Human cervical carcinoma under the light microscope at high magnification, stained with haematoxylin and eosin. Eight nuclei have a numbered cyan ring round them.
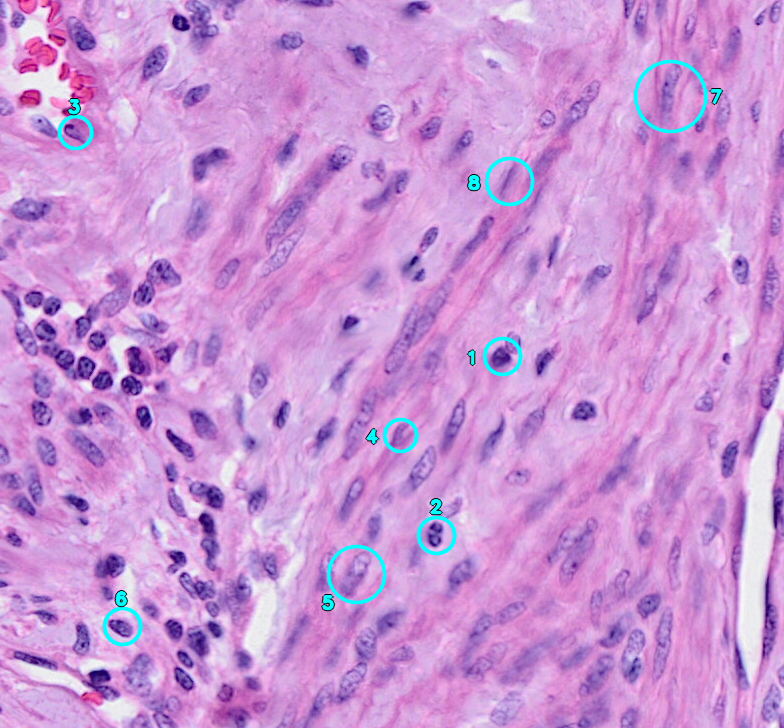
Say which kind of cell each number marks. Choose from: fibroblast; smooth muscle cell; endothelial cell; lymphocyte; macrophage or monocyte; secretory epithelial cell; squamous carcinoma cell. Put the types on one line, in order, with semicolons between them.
lymphocyte; lymphocyte; endothelial cell; smooth muscle cell; smooth muscle cell; lymphocyte; smooth muscle cell; smooth muscle cell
